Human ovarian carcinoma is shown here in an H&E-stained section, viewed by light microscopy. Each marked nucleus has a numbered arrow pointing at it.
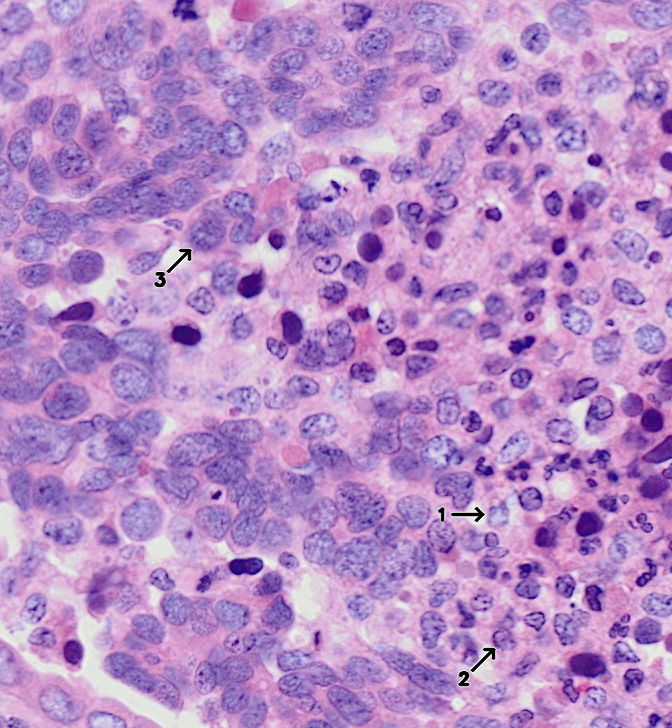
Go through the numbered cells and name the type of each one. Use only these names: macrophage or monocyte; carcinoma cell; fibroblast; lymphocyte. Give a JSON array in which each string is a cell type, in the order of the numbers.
["macrophage or monocyte", "macrophage or monocyte", "carcinoma cell"]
